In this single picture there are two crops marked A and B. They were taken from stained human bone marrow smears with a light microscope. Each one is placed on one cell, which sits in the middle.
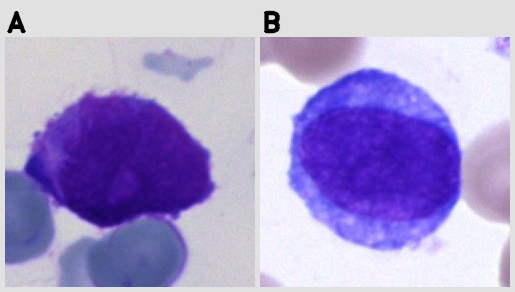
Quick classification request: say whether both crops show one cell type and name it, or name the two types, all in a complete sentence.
Yes, the two crops show blasts, one cell each.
